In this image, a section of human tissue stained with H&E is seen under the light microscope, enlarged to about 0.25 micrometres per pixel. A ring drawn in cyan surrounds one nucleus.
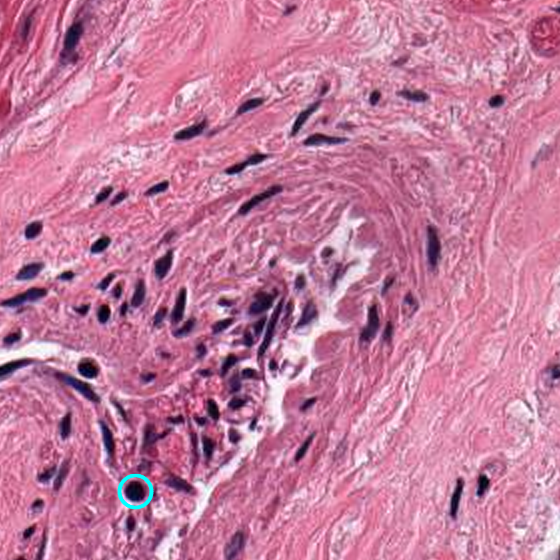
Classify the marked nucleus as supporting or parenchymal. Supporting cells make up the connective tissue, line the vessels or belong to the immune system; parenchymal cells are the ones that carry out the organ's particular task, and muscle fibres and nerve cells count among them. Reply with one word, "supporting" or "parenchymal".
supporting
